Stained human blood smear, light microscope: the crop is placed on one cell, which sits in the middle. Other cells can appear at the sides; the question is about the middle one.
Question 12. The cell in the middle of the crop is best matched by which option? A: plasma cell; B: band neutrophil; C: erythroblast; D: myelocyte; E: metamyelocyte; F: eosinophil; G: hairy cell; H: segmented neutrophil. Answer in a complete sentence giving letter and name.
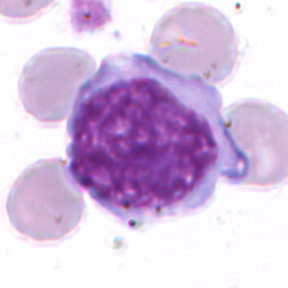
Option A is correct in that the central cell is a plasma cell.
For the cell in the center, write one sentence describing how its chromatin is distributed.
Answer: the chromatin in this nucleus is coarsely clumped.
